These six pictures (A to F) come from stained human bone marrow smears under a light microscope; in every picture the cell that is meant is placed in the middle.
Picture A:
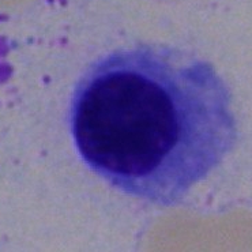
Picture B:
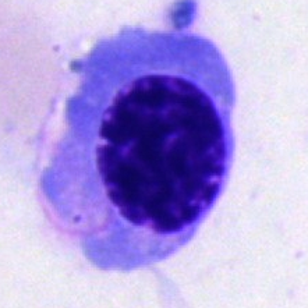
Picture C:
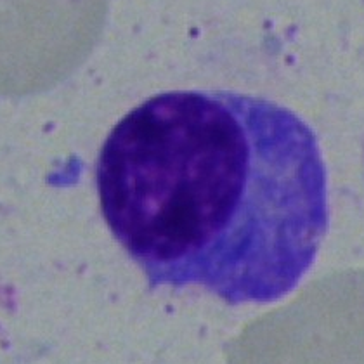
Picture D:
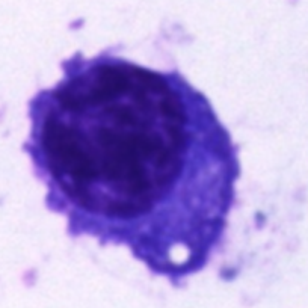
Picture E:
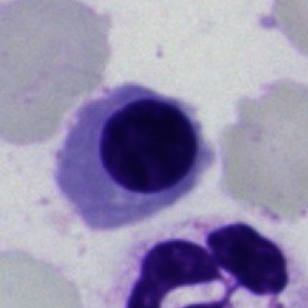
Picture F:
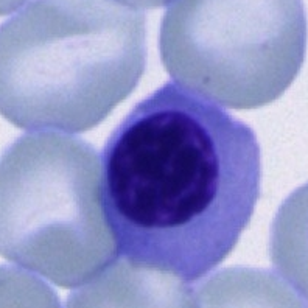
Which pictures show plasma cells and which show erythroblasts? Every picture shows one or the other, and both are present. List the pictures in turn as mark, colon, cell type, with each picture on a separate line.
A: erythroblast
B: erythroblast
C: plasma cell
D: plasma cell
E: erythroblast
F: erythroblast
